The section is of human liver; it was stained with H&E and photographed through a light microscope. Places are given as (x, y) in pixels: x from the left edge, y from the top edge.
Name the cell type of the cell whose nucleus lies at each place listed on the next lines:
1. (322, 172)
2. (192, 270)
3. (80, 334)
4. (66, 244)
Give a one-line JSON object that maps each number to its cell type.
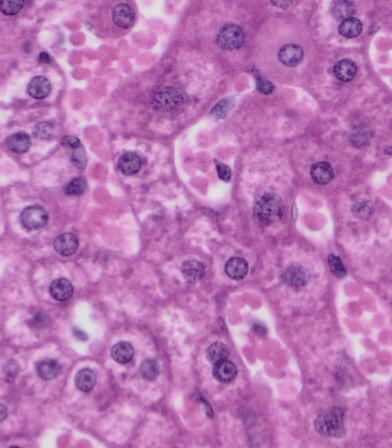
{"1": "hepatocyte", "2": "hepatocyte", "3": "lymphocyte", "4": "hepatocyte"}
